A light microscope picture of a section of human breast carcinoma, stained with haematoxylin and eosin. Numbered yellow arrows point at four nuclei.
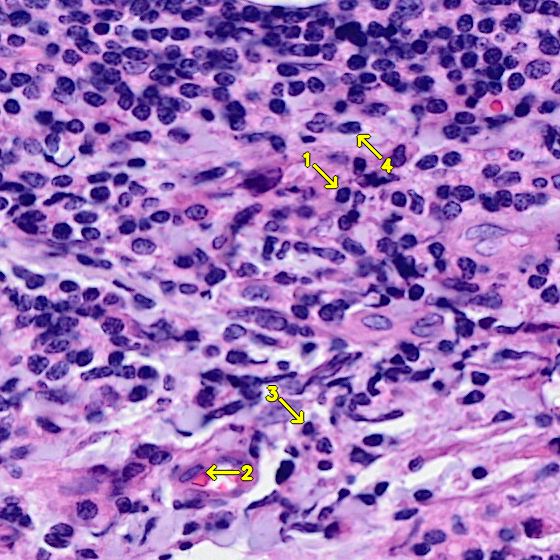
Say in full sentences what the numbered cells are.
Cells 1, 3 and 4 are lymphocytes. Cell 2 is an endothelial cell.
